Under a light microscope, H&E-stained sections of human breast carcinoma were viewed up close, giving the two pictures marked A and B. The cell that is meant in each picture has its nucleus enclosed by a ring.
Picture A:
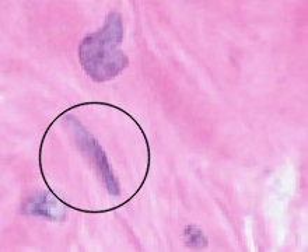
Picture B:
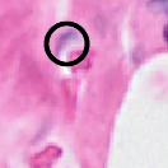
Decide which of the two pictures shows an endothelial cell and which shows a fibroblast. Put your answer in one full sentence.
Picture A shows a fibroblast and picture B shows an endothelial cell.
